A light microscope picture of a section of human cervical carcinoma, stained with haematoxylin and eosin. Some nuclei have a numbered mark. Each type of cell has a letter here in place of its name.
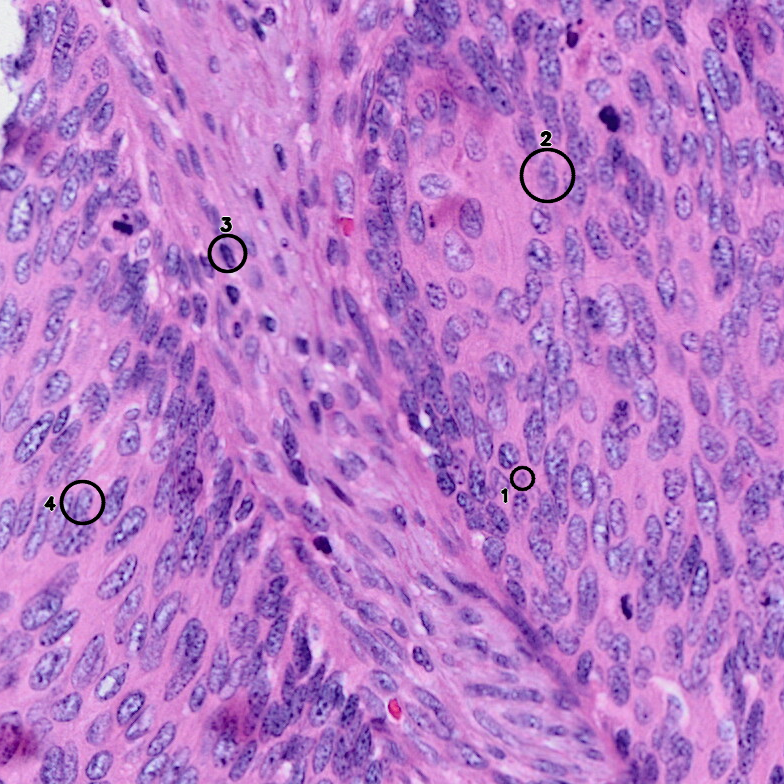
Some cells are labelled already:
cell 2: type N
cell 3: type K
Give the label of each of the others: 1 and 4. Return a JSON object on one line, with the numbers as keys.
{"1": "type N", "4": "type N"}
